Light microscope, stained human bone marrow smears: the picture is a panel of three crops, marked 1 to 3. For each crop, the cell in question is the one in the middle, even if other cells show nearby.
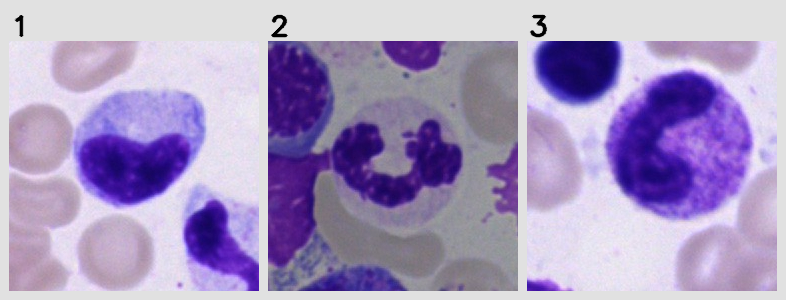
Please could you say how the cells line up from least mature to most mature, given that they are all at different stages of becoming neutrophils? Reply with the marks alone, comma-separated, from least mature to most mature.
1, 3, 2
